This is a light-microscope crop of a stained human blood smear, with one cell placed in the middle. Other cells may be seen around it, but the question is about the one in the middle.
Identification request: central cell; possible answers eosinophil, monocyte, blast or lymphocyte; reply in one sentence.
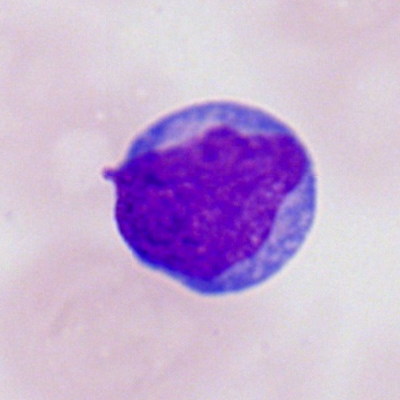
This crop's central cell is a blast.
